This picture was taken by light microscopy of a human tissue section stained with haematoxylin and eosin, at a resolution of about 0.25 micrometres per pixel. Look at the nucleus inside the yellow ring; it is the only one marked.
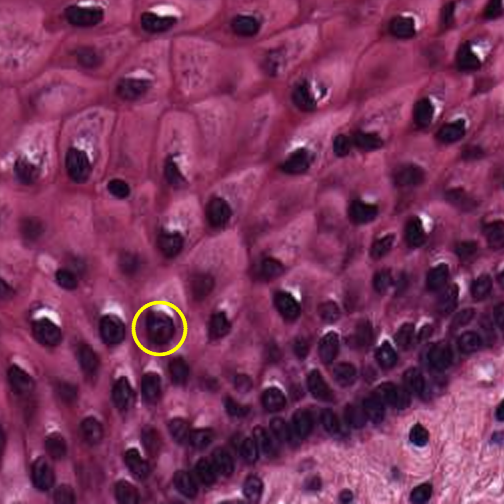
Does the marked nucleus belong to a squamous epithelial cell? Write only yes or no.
yes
